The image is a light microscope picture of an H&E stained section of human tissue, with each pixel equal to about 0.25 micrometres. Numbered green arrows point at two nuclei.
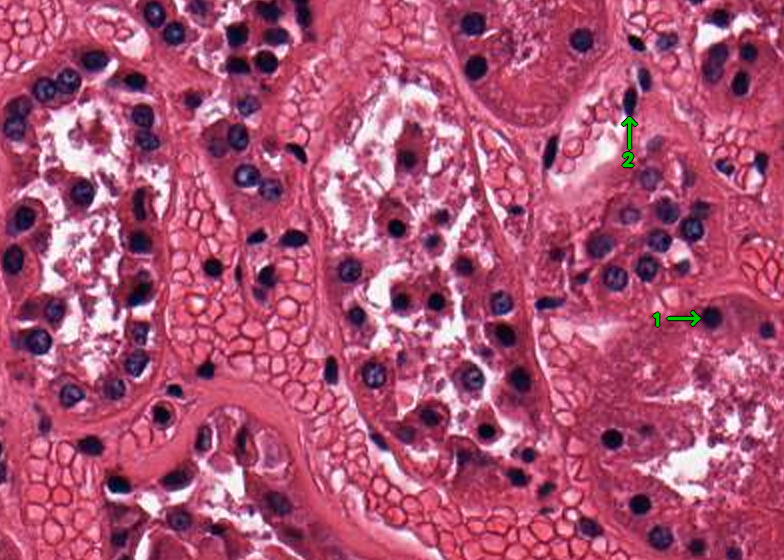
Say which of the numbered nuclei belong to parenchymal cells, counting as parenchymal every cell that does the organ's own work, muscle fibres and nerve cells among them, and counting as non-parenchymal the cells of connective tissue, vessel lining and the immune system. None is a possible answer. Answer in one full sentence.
Nucleus 1 is the only one of the numbered nuclei belonging to a parenchymal cell.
